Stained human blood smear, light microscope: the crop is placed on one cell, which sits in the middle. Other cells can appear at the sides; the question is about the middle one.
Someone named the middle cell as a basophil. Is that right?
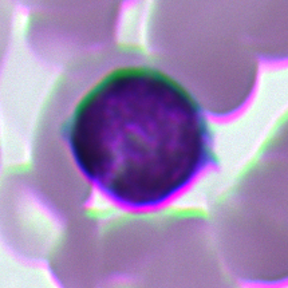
no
